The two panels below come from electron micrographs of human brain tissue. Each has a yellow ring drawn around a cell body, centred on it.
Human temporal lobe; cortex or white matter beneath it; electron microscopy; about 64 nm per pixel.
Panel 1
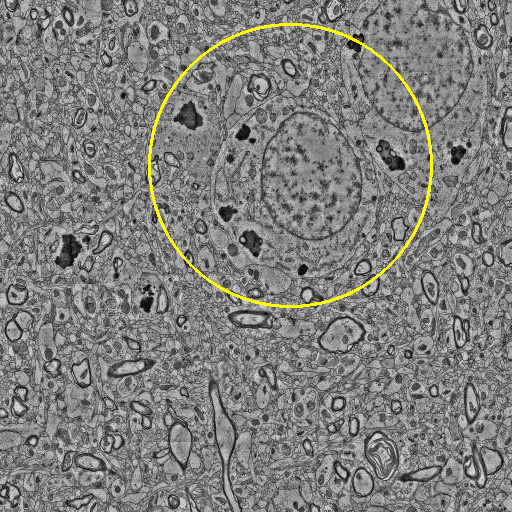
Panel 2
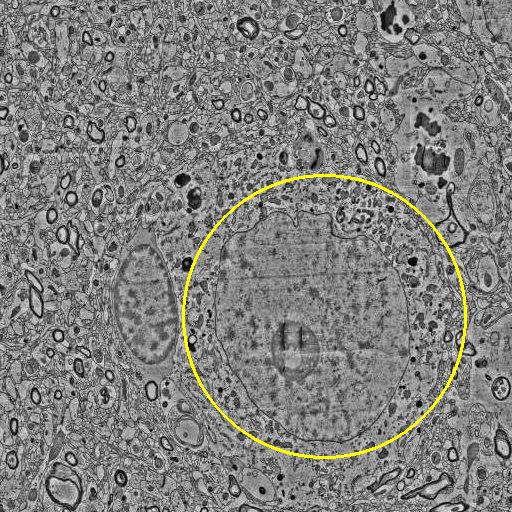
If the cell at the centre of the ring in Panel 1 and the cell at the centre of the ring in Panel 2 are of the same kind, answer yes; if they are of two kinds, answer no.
yes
